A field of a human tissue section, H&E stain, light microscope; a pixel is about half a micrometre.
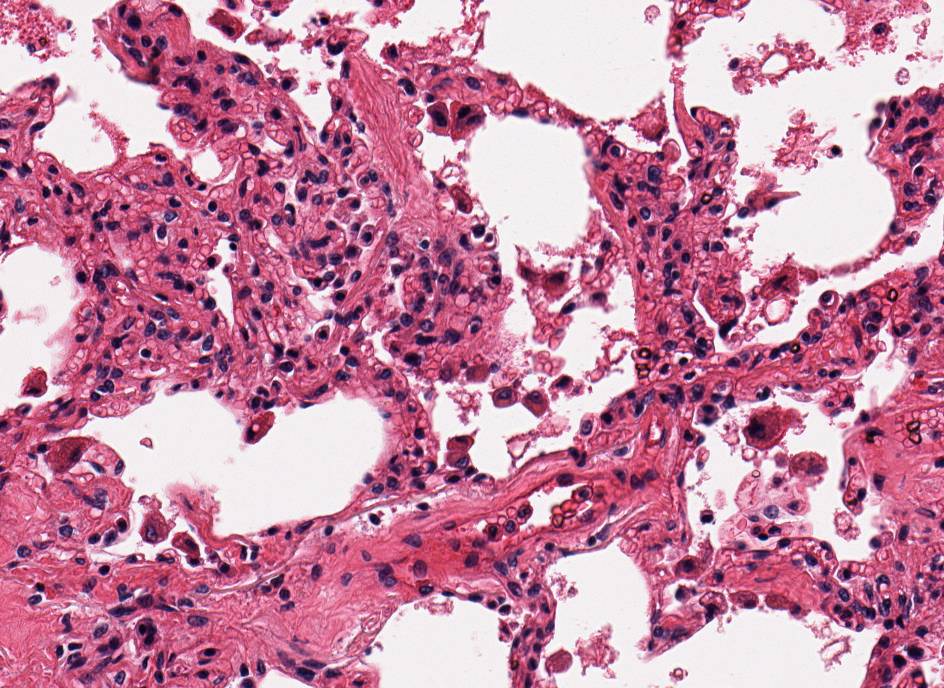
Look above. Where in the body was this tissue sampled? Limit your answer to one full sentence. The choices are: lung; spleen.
This material was sampled from the lung.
